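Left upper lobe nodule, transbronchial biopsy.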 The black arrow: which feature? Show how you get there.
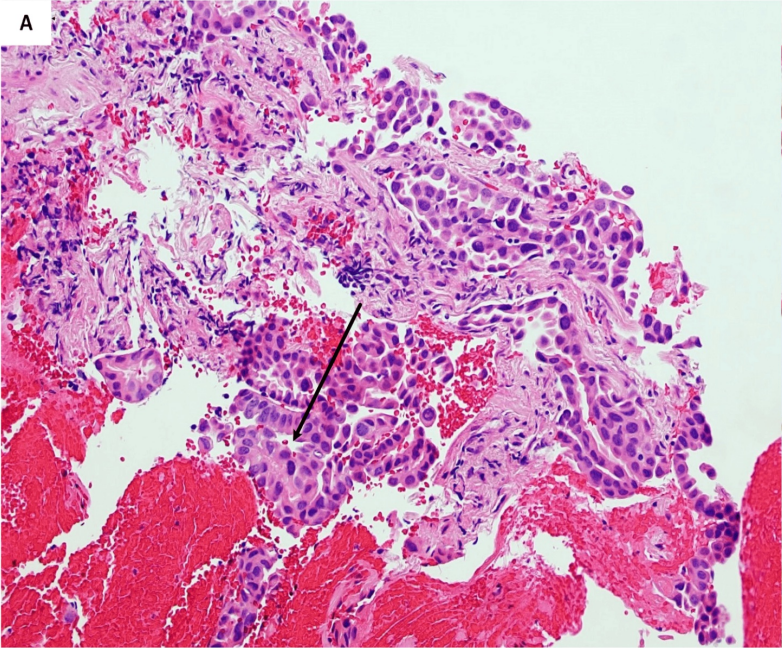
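Glands. The arrow points to a cluster of crowded epithelial cells arranged around small spaces. The cells have enlarged, dark-staining nuclei.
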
